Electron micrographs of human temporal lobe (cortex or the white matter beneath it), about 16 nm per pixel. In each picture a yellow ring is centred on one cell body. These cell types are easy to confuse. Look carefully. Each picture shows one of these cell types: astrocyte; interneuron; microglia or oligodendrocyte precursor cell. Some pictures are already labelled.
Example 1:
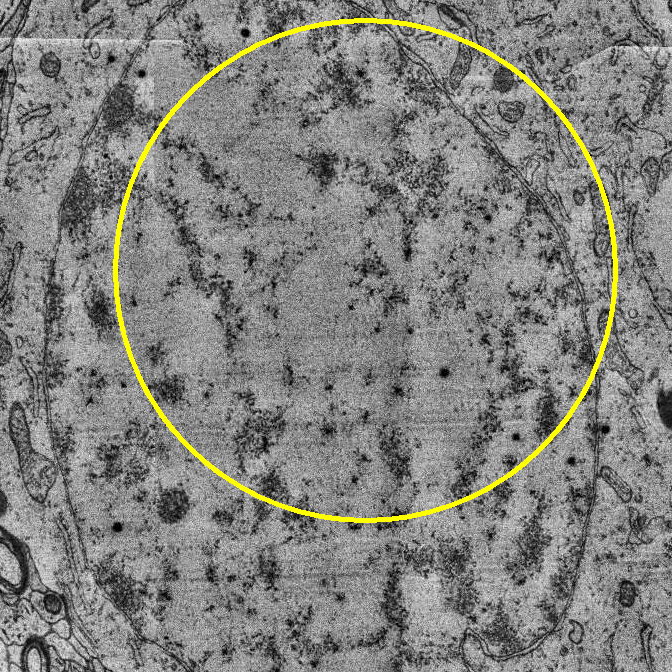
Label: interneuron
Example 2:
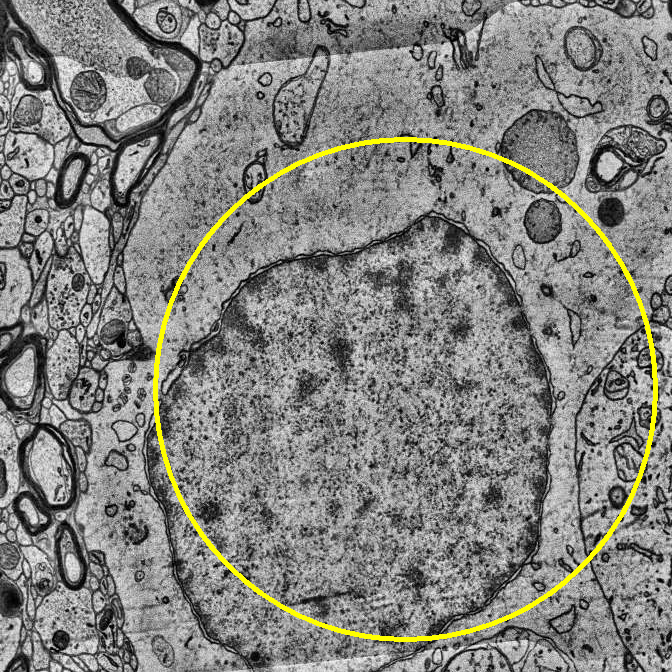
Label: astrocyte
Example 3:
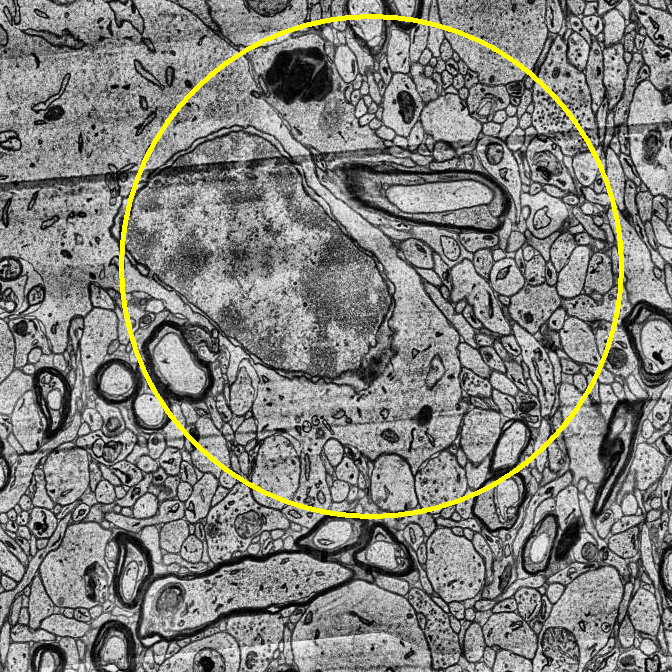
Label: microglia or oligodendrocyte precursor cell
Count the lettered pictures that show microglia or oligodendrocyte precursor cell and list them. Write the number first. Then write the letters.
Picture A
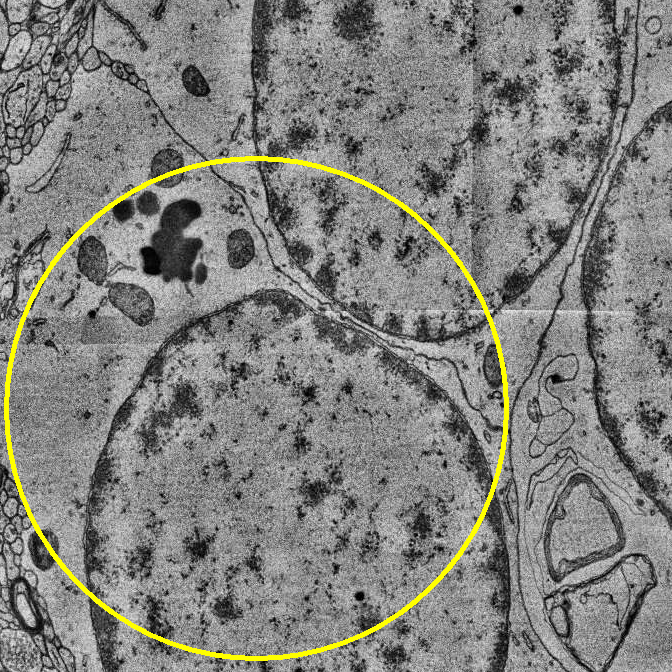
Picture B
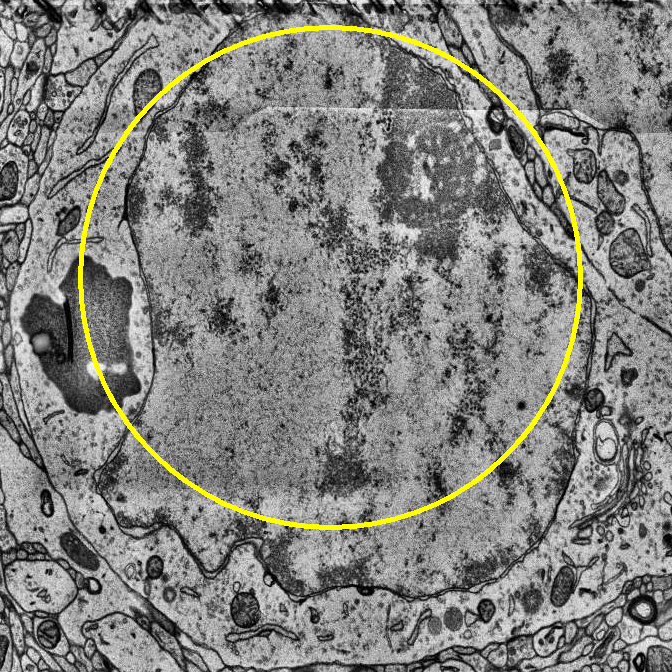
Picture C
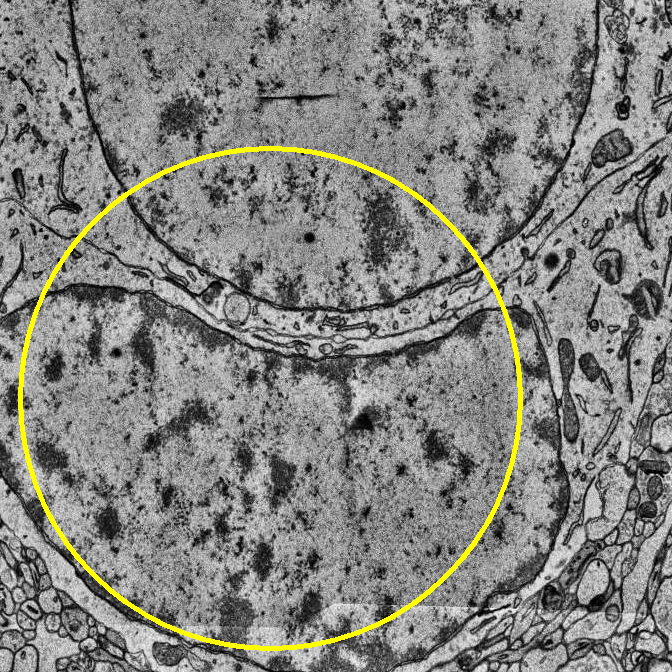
Count: 1 (C)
